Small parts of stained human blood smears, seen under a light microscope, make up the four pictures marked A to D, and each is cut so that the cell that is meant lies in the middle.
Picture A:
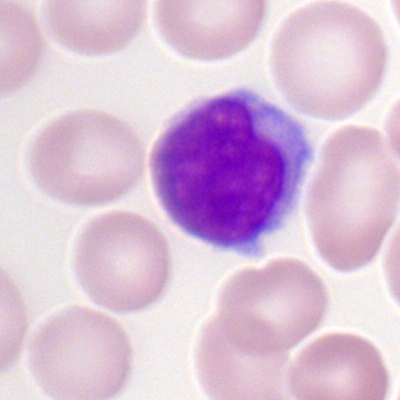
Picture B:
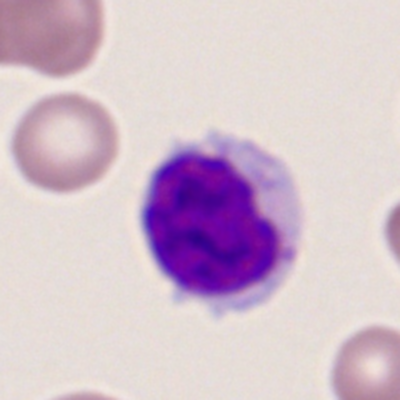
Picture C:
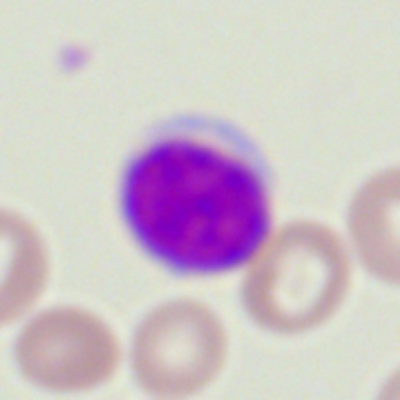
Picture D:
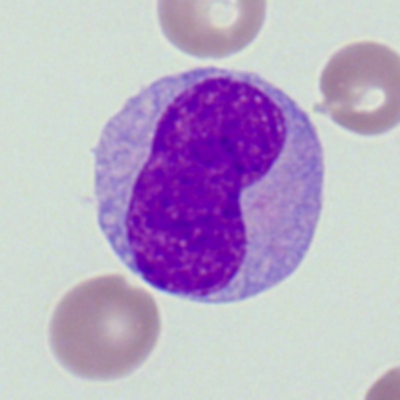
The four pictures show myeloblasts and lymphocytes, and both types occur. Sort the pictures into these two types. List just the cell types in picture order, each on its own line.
lymphocyte
lymphocyte
lymphocyte
myeloblast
